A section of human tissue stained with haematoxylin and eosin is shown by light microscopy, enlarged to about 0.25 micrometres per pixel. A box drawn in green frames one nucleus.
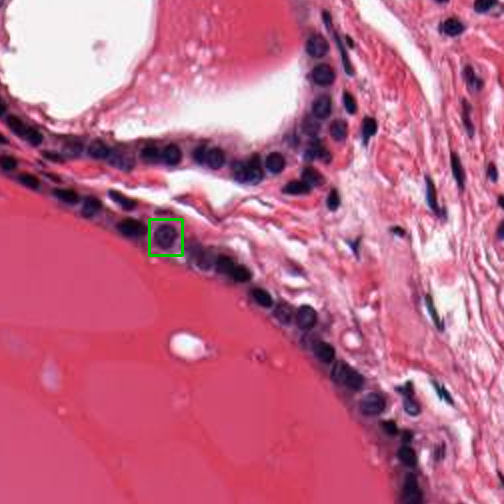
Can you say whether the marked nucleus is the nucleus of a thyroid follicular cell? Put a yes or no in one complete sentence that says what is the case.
Yes, the marked nucleus belongs to a thyroid follicular cell.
